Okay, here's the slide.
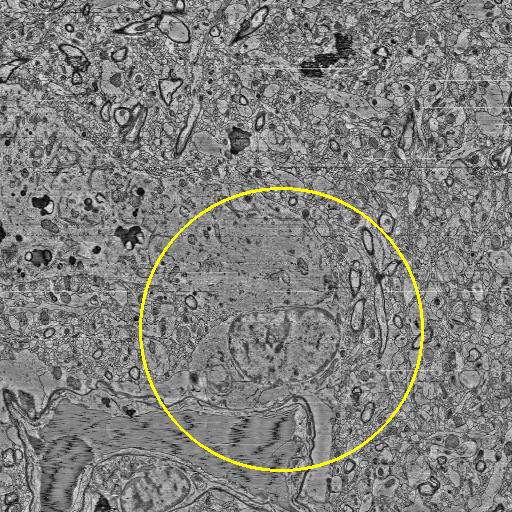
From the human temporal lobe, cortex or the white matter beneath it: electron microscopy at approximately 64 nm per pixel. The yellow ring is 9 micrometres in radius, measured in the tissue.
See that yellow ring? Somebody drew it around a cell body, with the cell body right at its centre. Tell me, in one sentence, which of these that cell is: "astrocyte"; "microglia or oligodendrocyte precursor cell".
The cell in the middle of the ring is a microglial cell or oligodendrocyte precursor cell.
